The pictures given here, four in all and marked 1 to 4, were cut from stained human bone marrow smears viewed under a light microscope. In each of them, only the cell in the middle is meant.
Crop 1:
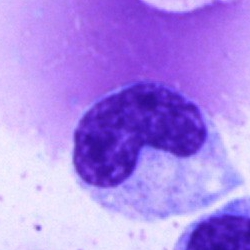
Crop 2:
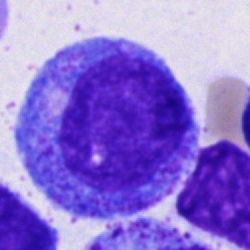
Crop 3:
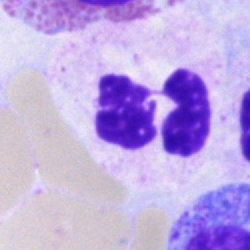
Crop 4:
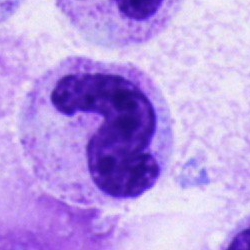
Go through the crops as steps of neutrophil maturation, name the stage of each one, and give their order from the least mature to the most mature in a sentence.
Lined up by maturity, least mature to most mature, they are crop 2 (a promyelocyte), crop 1 (a metamyelocyte), crop 4 (a band neutrophil) and crop 3 (a segmented neutrophil).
